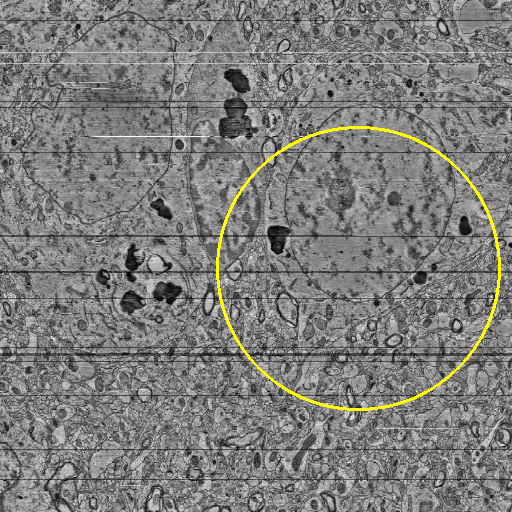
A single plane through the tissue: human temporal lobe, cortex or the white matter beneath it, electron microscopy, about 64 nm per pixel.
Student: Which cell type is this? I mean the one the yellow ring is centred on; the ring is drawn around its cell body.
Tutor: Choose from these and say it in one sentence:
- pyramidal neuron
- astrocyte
The cell the ring is centred on is a pyramidal neuron.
